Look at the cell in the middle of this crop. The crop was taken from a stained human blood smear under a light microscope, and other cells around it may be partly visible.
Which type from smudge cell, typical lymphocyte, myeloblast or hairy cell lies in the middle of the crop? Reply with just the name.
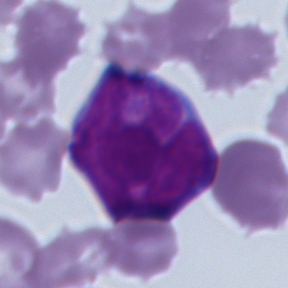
myeloblast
